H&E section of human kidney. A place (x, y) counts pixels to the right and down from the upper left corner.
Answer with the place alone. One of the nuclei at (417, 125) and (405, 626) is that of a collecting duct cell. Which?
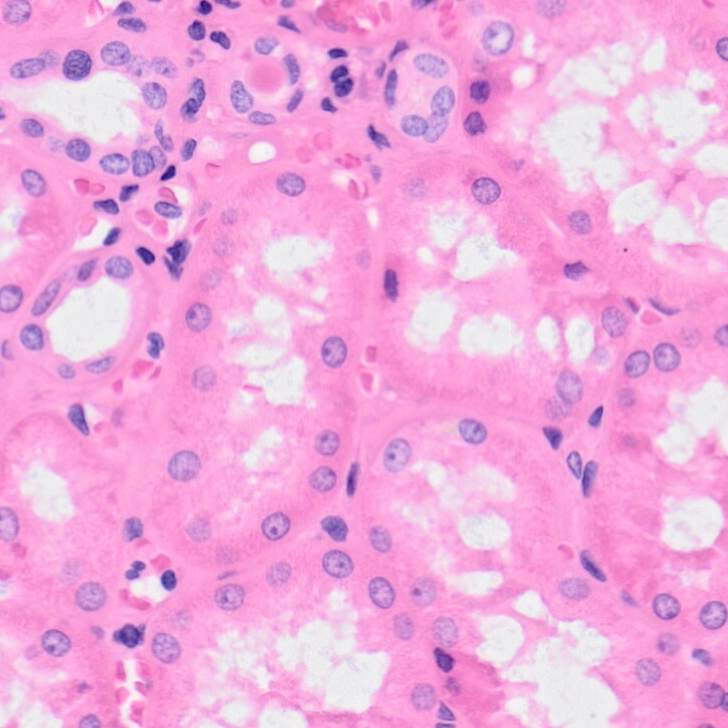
(417, 125)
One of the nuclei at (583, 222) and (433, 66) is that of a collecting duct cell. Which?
(433, 66)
